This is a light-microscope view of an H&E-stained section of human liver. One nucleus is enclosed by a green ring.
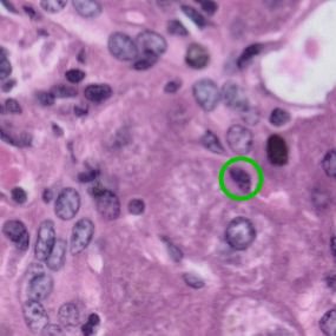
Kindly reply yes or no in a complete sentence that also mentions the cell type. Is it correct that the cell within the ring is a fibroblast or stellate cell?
Yes, when classified by type, the cell within the ring is a fibroblast or stellate cell.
